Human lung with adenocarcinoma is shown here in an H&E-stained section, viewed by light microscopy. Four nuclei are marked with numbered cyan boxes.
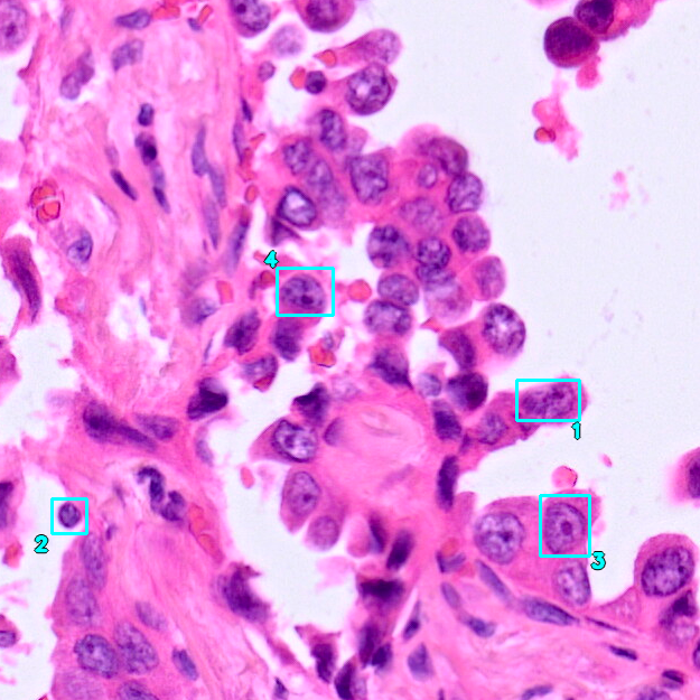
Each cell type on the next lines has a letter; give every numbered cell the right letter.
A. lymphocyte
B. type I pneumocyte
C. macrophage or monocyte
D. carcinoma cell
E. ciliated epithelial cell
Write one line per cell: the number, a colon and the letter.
1: D
2: A
3: D
4: D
